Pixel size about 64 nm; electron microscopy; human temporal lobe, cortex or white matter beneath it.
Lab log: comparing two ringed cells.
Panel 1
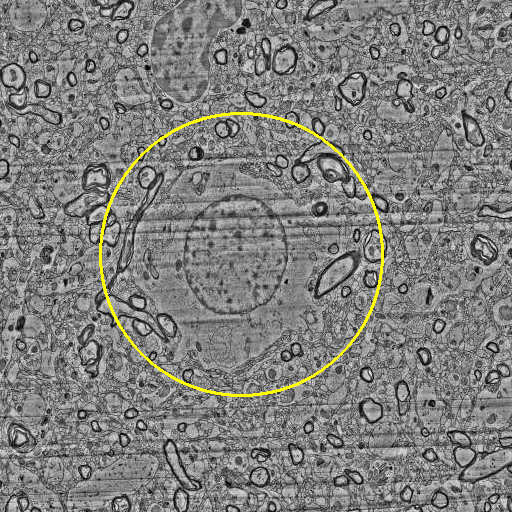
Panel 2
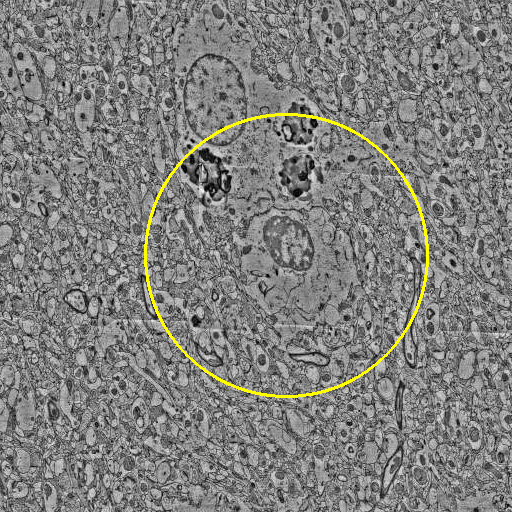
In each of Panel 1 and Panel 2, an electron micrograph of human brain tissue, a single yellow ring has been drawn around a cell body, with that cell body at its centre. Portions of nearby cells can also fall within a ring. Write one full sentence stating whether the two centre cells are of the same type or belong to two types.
The cells at the ring centres in Panel 1 and Panel 2 are of the same type.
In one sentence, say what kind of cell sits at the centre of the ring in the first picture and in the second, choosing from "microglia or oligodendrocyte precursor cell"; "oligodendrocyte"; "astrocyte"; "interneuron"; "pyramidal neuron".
Each of the two pictures has an astrocyte at the ring centre.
